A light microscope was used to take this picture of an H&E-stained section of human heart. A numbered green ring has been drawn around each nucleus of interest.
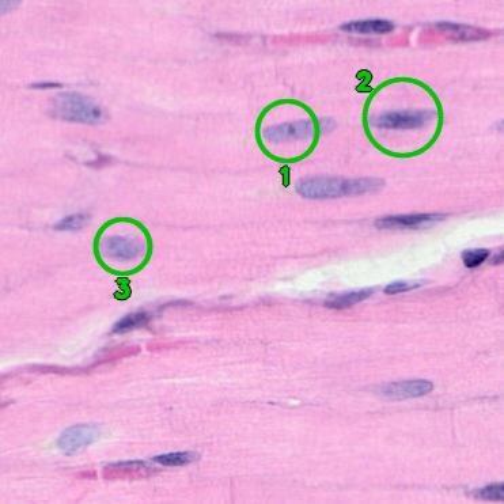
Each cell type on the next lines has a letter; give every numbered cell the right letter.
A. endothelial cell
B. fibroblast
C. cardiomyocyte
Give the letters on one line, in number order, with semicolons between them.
C; A; C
